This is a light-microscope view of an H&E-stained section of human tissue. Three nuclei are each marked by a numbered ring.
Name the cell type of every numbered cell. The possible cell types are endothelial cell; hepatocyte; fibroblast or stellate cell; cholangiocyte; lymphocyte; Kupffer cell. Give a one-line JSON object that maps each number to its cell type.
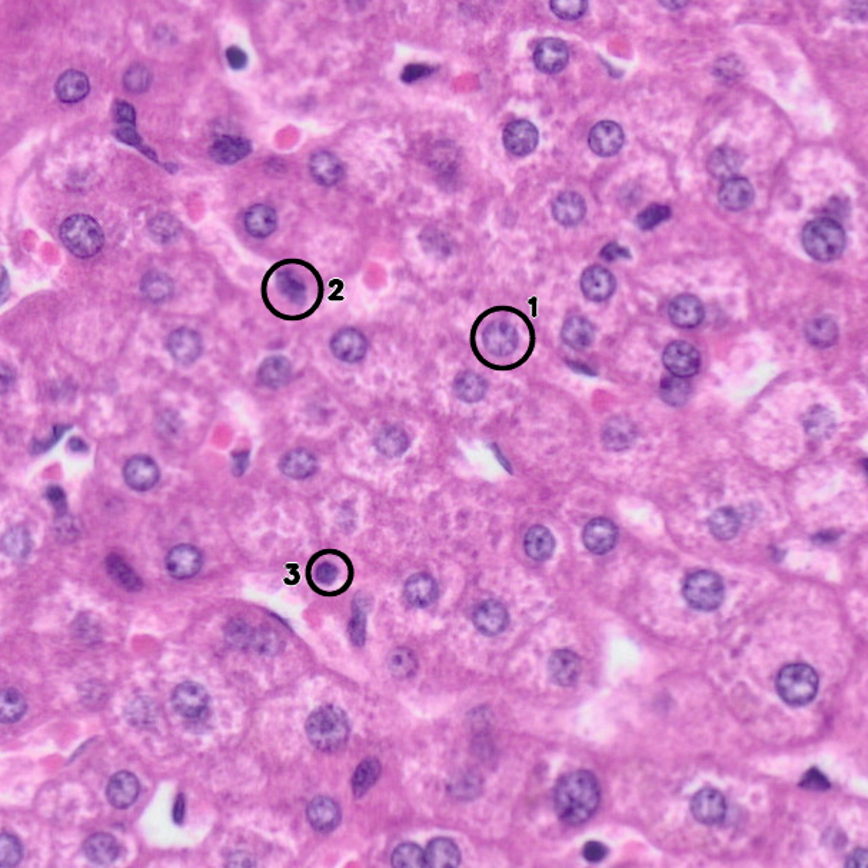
{"1": "hepatocyte", "2": "endothelial cell", "3": "lymphocyte"}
